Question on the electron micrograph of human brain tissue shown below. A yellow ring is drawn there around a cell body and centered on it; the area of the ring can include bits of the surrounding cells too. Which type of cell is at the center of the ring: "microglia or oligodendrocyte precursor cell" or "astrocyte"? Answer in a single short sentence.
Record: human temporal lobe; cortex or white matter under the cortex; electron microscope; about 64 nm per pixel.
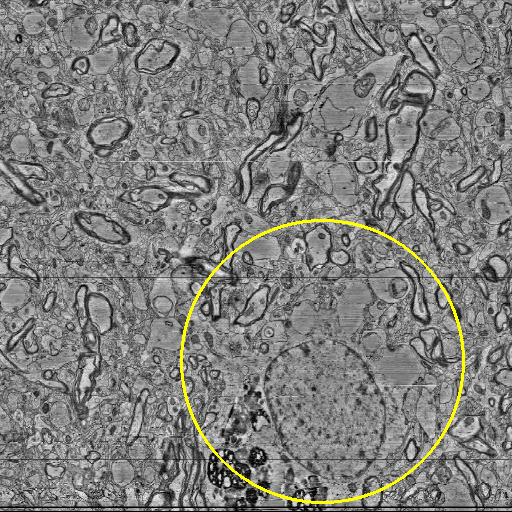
The ring is centered on an astrocyte.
